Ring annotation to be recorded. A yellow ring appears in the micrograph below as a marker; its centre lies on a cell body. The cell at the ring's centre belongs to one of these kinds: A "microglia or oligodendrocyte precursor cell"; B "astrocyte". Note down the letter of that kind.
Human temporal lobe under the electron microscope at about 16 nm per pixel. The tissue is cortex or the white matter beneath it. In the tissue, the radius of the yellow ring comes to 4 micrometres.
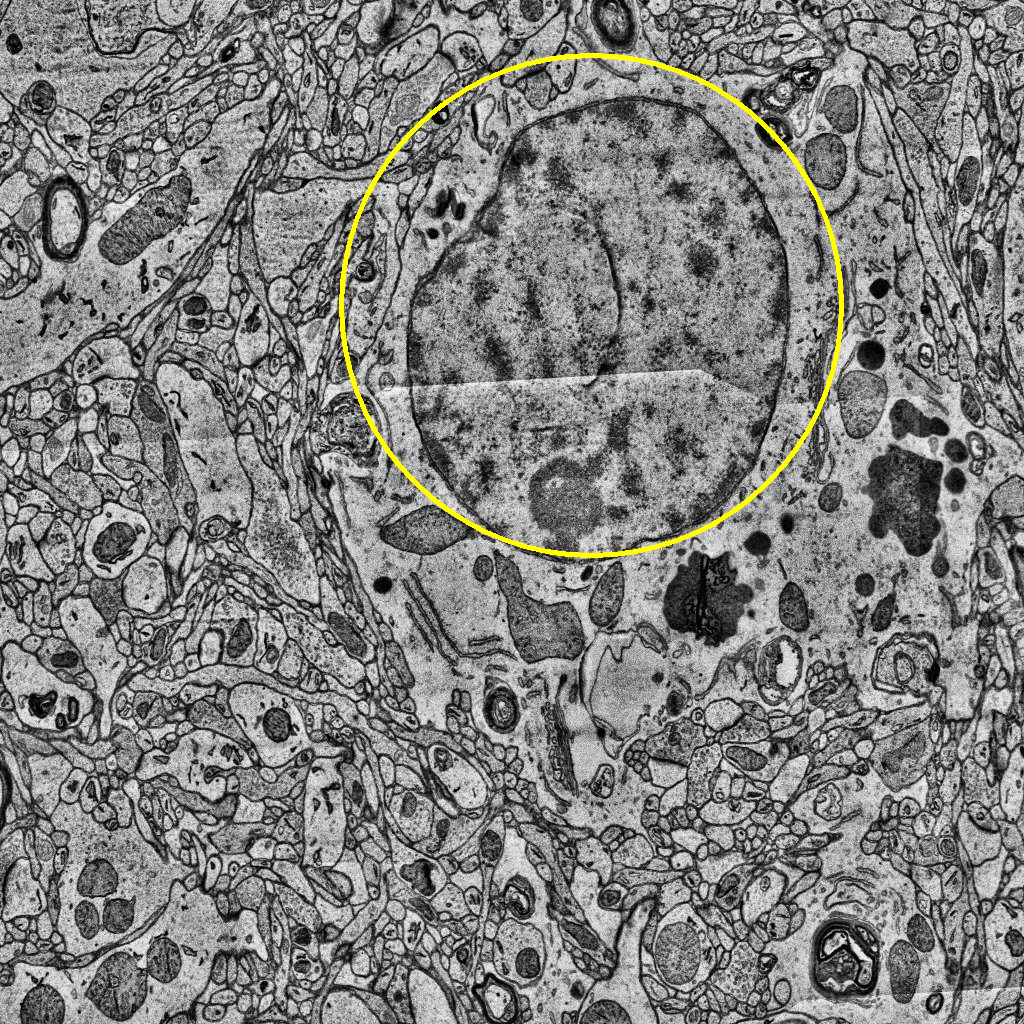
B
